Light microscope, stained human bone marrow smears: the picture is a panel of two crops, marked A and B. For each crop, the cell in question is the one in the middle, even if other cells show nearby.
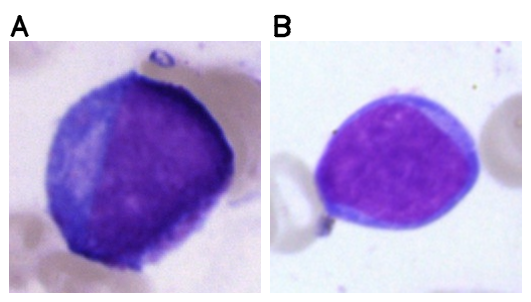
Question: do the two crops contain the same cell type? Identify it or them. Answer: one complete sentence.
Yes, both crops show blasts, one in each.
